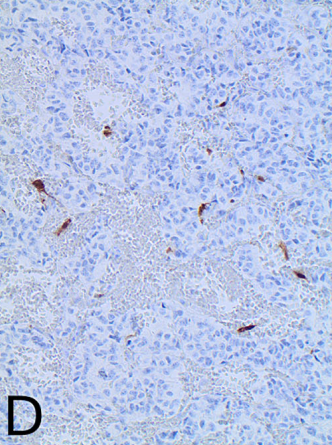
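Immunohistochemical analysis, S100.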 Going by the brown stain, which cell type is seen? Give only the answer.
sustentacular cells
